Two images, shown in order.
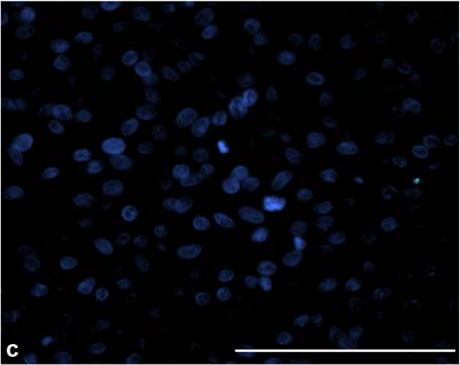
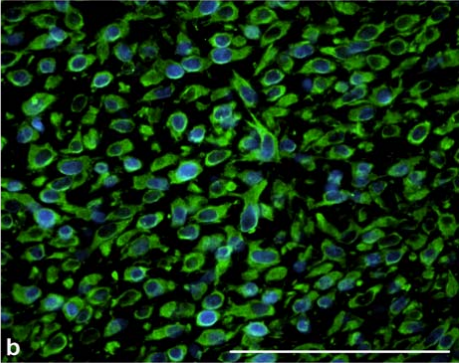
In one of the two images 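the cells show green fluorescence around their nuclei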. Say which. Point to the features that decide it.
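First image: only blue nuclei are visible on a dark background, with no green. Second image: nearly every cell shows bright green cytoplasm surrounding a blue nucleus.
Answer: the second image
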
